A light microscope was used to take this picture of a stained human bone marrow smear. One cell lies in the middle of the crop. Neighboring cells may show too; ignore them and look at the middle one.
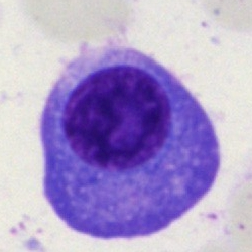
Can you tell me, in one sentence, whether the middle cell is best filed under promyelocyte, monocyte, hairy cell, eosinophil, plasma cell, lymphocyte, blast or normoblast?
The cell in the exact centre of the crop is a plasma cell.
